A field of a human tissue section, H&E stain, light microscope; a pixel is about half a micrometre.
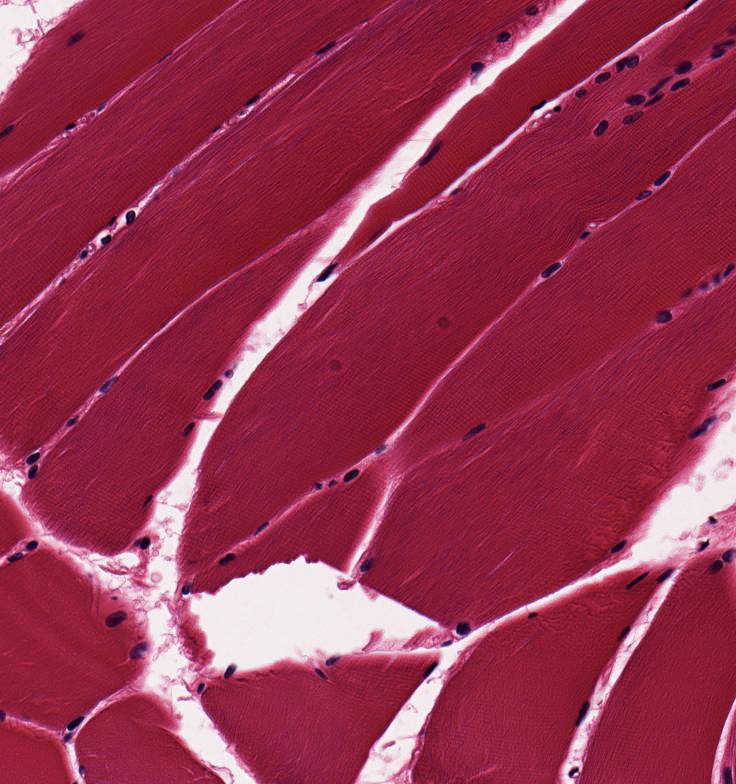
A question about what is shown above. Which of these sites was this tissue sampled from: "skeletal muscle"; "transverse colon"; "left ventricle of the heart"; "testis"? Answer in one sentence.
The site this tissue was sampled from is the skeletal muscle.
